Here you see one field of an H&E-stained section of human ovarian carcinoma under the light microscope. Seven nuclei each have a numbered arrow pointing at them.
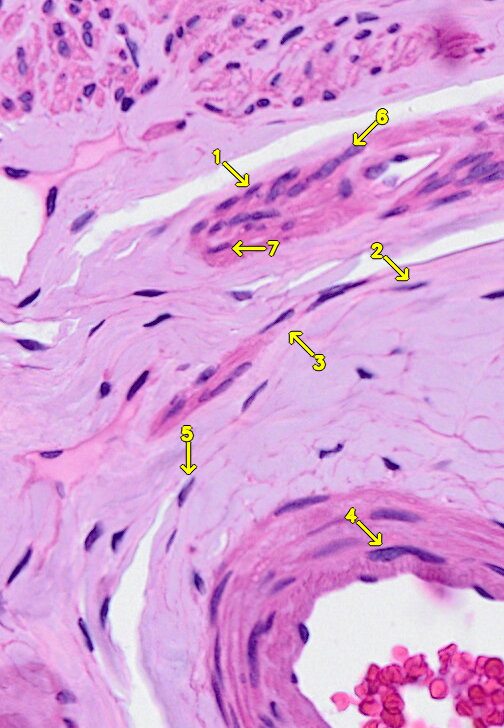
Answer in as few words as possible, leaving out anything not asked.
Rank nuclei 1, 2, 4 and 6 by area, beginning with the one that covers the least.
1, 2, 4, 6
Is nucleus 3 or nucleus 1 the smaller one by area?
1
